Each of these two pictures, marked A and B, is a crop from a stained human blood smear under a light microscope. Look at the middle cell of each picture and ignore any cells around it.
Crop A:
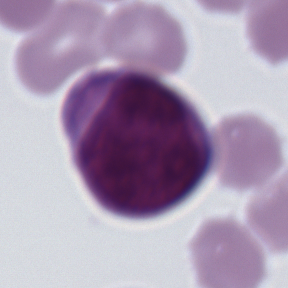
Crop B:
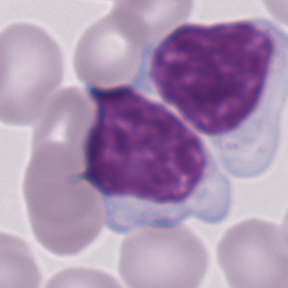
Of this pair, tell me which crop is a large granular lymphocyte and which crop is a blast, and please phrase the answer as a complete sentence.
Identified in crop A is a blast, with a large granular lymphocyte identified in crop B.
